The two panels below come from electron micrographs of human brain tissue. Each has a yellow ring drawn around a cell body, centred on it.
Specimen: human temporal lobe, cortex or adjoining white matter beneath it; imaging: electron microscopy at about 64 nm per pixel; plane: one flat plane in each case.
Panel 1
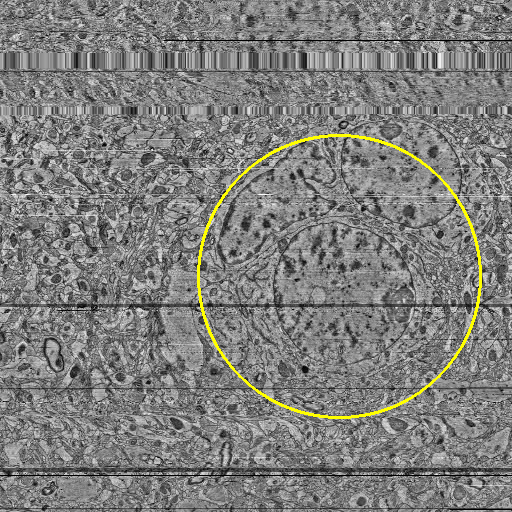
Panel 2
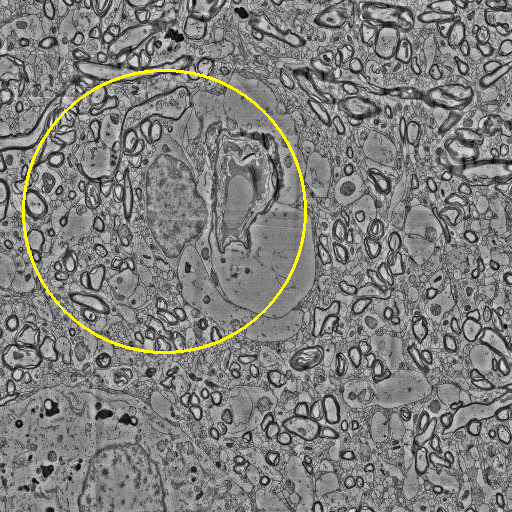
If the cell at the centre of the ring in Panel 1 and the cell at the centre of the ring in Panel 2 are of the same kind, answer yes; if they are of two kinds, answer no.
no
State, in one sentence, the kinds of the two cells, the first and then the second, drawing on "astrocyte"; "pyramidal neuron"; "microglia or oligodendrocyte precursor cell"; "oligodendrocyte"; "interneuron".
The ring in the second picture is centred on an oligodendrocyte, the ring in the first on a pyramidal neuron.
